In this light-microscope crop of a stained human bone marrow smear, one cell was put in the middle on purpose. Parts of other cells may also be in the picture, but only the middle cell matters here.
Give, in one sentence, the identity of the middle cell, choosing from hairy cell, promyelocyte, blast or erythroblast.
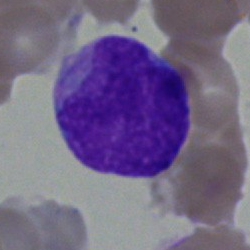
The cell positioned in the middle of the field is a blast.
